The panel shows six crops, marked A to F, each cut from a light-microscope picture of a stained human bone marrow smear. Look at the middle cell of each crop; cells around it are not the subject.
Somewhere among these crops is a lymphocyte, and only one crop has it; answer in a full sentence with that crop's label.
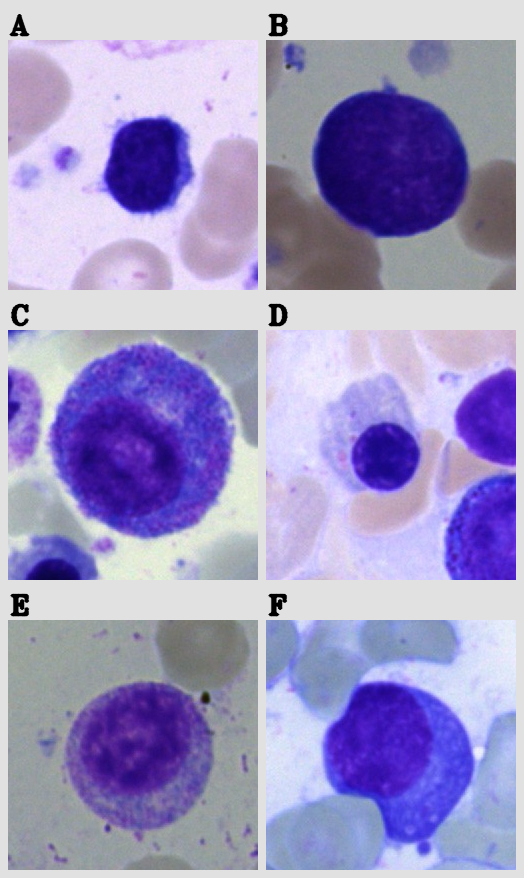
Among the crops, only crop A contains a lymphocyte.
